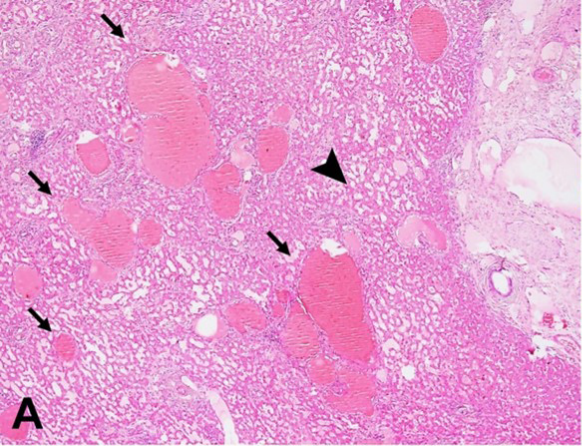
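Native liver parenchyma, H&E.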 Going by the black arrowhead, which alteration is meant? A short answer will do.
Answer: Sinusoidal dilatation.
